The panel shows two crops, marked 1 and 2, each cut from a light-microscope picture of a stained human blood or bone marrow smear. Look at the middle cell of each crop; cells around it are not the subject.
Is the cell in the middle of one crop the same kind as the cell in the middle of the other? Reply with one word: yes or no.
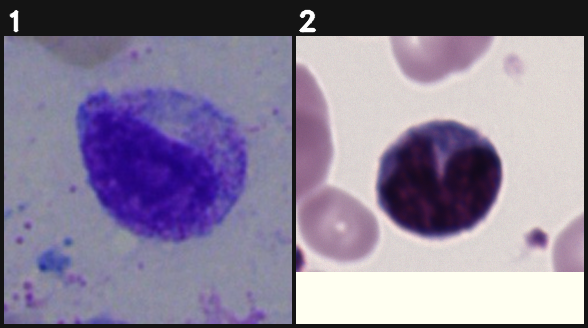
no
